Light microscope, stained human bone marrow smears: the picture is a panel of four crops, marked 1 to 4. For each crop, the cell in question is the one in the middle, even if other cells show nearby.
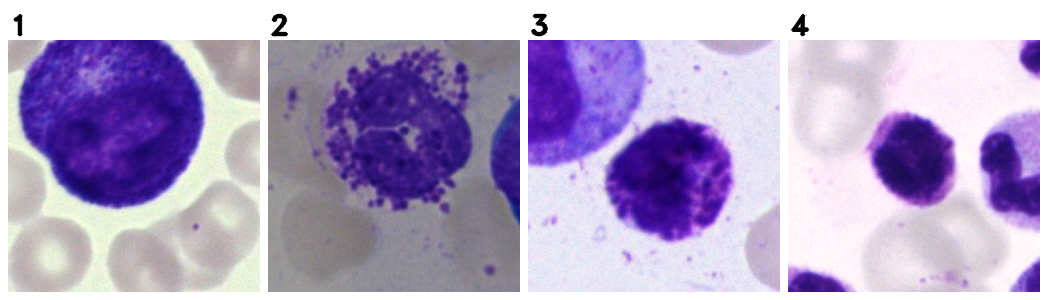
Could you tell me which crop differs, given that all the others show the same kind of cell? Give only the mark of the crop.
1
